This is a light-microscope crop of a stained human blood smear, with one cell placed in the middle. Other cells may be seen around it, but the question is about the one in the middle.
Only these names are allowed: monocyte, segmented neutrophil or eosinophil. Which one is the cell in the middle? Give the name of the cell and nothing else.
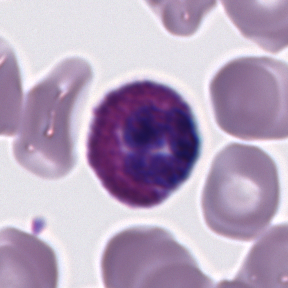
eosinophil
